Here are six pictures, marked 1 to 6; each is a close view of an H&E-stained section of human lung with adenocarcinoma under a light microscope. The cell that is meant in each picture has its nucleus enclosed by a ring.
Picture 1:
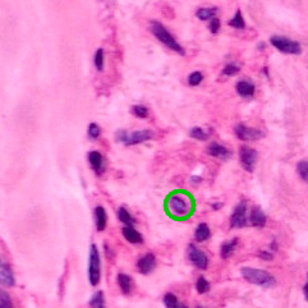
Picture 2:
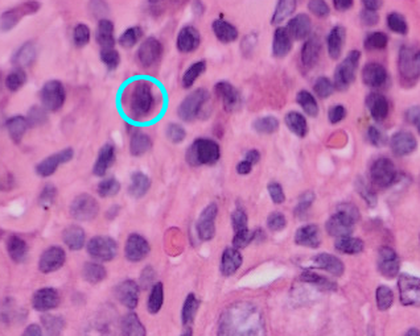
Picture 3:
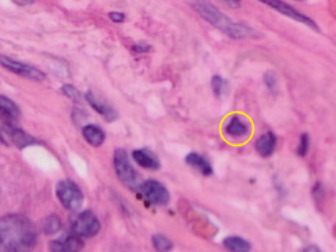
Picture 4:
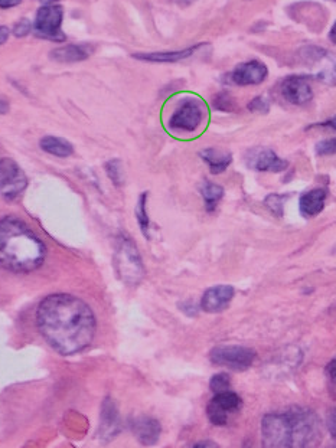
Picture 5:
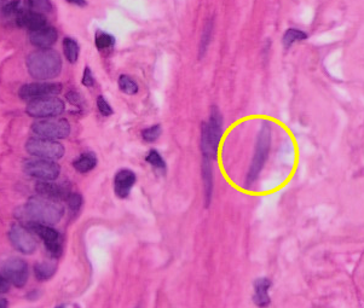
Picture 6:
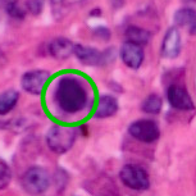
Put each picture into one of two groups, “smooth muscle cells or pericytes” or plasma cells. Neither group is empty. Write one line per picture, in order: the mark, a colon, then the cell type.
1: smooth muscle cell or pericyte
2: plasma cell
3: smooth muscle cell or pericyte
4: plasma cell
5: smooth muscle cell or pericyte
6: plasma cell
